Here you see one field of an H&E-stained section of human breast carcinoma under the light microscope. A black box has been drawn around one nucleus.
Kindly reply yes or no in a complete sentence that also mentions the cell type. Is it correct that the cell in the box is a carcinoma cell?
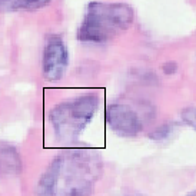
Yes, no change needed: the cell in the box is a carcinoma cell.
